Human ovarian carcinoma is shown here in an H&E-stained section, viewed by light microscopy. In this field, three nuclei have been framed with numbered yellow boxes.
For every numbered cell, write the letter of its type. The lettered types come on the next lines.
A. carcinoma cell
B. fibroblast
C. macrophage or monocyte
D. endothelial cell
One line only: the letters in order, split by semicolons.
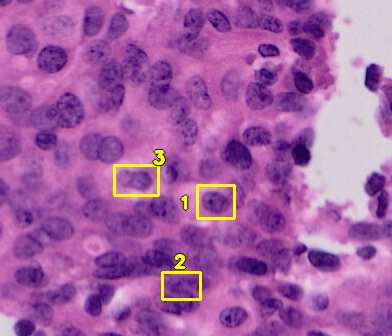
C; A; C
